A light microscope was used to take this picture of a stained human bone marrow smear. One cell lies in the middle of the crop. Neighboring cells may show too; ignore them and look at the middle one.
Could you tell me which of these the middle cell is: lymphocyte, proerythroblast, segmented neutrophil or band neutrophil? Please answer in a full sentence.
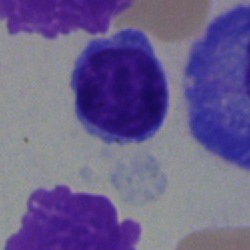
The cell the crop is centered on is a lymphocyte.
